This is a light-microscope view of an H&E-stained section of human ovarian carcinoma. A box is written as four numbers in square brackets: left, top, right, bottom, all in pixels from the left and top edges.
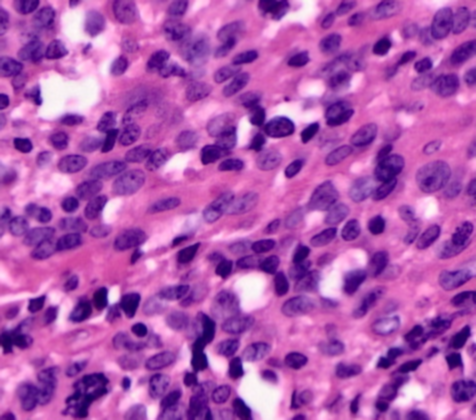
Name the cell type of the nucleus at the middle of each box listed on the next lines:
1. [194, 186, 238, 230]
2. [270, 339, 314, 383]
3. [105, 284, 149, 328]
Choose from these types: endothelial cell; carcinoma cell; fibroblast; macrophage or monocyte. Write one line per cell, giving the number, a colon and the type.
1: endothelial cell
2: macrophage or monocyte
3: carcinoma cell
